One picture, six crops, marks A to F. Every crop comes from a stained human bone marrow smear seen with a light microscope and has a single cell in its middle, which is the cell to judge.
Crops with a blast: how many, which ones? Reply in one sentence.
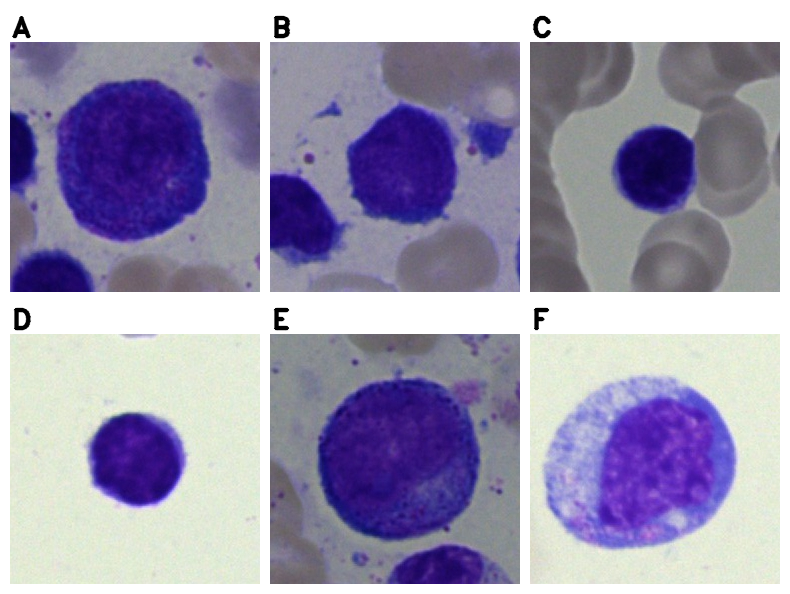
Crop B is the one and only crop showing a blast.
